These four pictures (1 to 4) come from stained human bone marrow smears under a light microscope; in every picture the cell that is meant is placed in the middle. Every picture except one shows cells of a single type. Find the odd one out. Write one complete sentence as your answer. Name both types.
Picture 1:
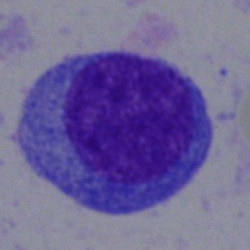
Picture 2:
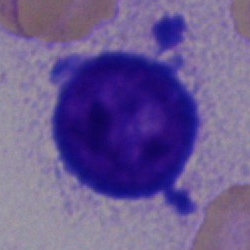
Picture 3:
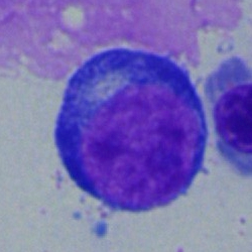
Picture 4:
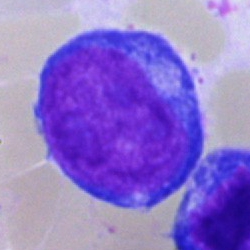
Unlike the rest, which show proerythroblasts, picture 1 shows a plasma cell.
